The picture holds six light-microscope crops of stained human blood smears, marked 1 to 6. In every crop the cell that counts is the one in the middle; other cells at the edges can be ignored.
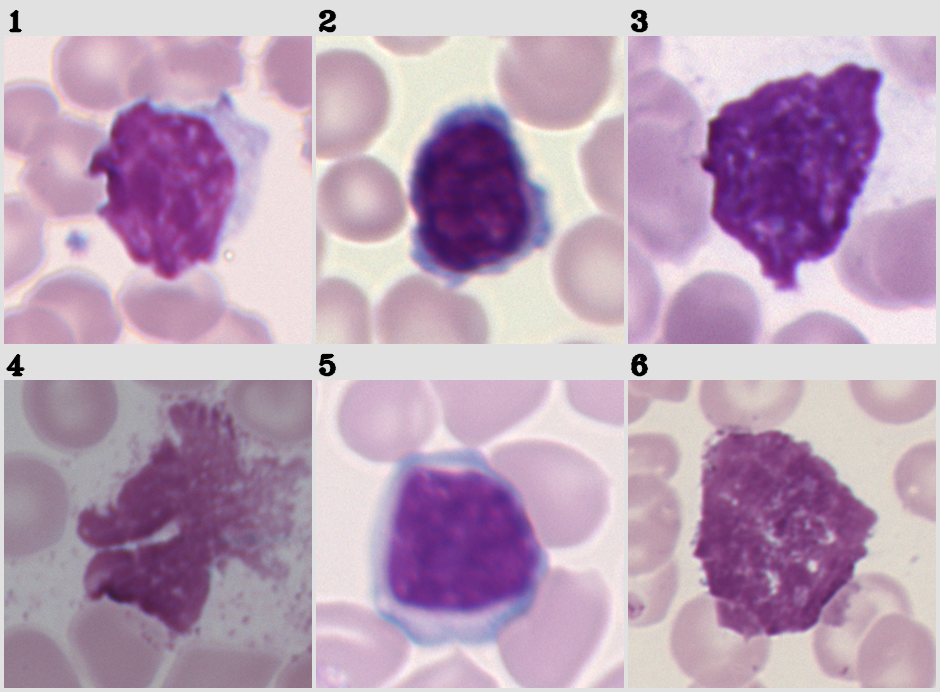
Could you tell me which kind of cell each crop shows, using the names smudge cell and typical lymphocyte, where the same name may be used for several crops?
1: typical lymphocyte
2: typical lymphocyte
3: smudge cell
4: smudge cell
5: typical lymphocyte
6: smudge cell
